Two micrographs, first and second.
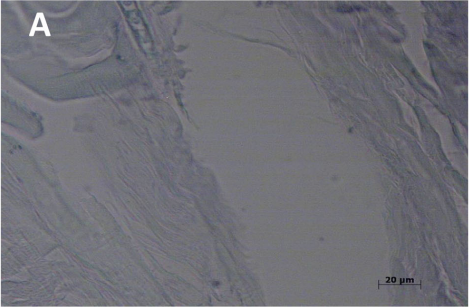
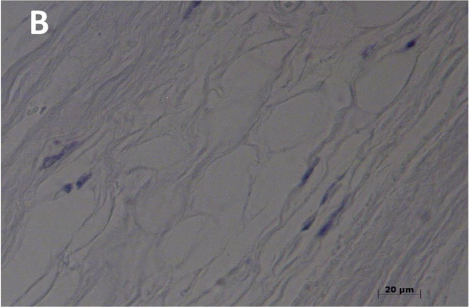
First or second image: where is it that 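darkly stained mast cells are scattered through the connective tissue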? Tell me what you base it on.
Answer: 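The second image. Second image: several intensely dark violet elongated cells lie among the pale fibres. First image: pale blue fibrous tissue with no clearly dark-stained cells.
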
